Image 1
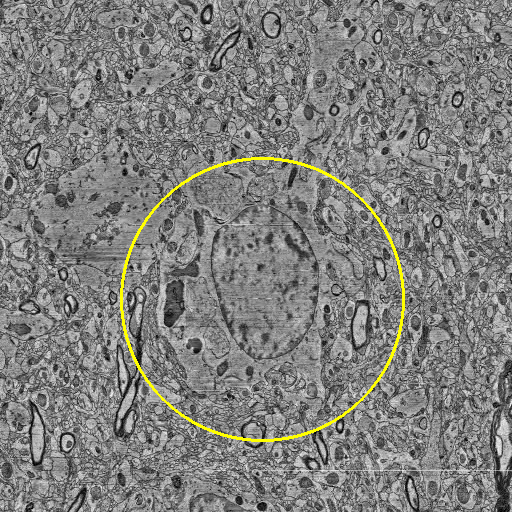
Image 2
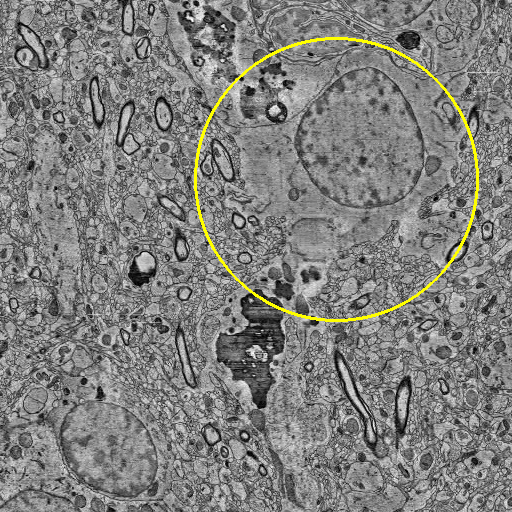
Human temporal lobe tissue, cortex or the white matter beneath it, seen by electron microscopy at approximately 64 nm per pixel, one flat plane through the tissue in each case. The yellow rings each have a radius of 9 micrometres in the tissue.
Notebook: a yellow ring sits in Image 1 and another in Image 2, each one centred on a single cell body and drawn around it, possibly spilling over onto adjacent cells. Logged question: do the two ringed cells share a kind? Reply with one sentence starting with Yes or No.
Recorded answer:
Yes, both centre cells inside the rings of Image 1 and Image 2 share one kind.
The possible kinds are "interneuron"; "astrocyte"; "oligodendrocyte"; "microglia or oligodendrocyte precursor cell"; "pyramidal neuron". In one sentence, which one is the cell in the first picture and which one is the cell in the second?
In each of the two pictures, the ringed cell is an astrocyte.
